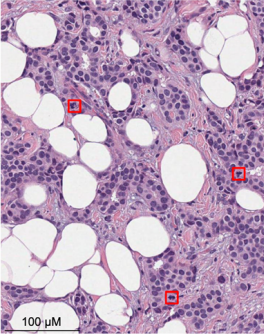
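Crowded cells with round purple nuclei lie in sheets, nests and cords, separated by strands of pink fibrous stroma. Between them are many large, empty, rounded clear spaces of differing size, like fat cells. Most nuclei are fairly uniform, round to oval, with a thin rim of pale cytoplasm. A few red squares are drawn on the field, each around a single cell whose nucleus is small, compact and much darker than its neighbours, with condensed chromatin rather than an open round nucleus. These boxed cells are mitoses, scattered singly among the cell nests.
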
